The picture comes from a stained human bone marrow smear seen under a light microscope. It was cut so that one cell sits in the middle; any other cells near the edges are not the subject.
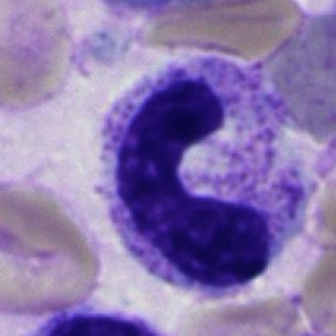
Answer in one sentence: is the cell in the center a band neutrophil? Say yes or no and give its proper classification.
Yes, a band neutrophil is the cell positioned in the middle of the field.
